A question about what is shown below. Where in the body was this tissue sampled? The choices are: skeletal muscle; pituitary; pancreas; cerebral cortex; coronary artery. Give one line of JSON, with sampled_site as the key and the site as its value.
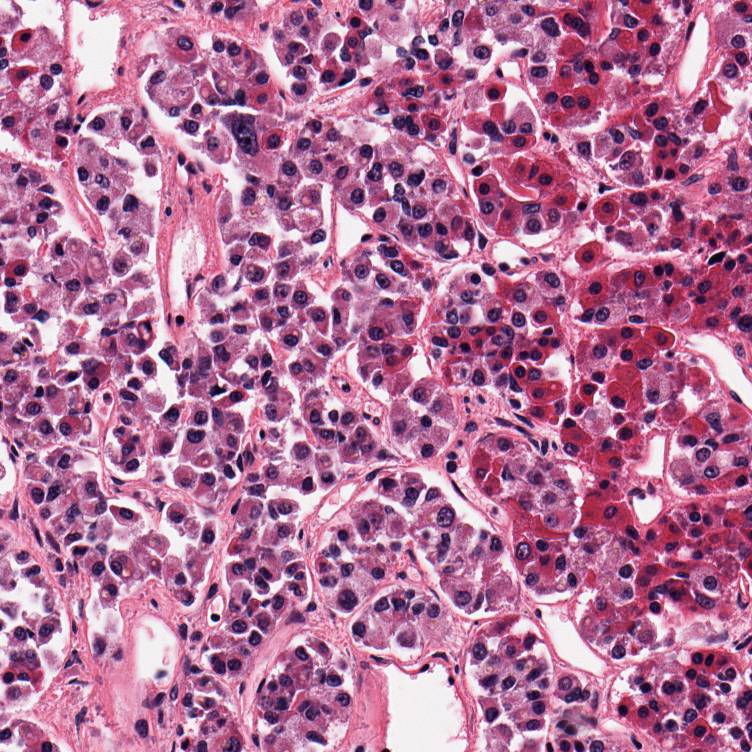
{"sampled_site": "pituitary"}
